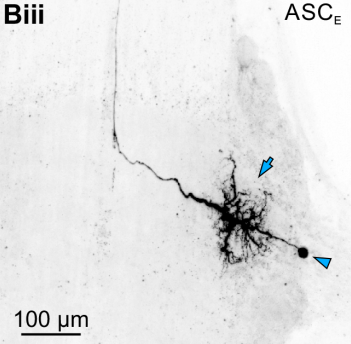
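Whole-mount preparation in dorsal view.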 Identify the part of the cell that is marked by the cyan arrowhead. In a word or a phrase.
Soma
